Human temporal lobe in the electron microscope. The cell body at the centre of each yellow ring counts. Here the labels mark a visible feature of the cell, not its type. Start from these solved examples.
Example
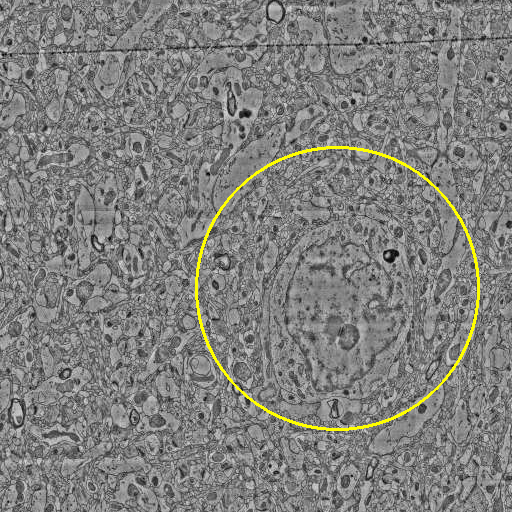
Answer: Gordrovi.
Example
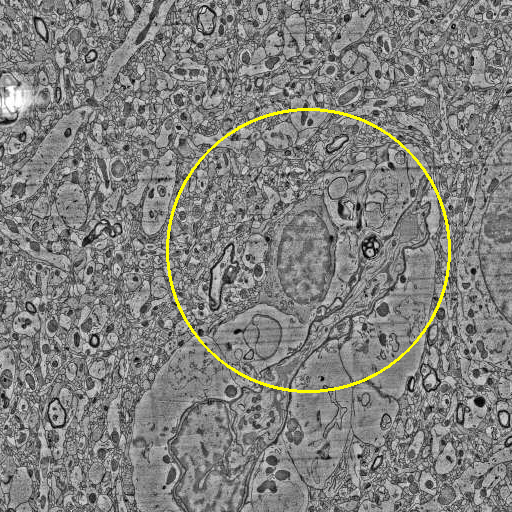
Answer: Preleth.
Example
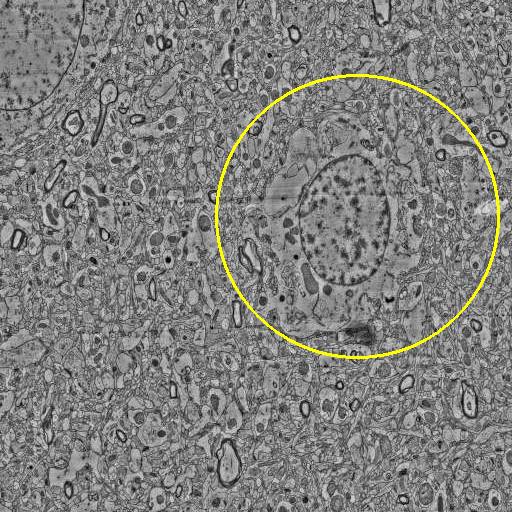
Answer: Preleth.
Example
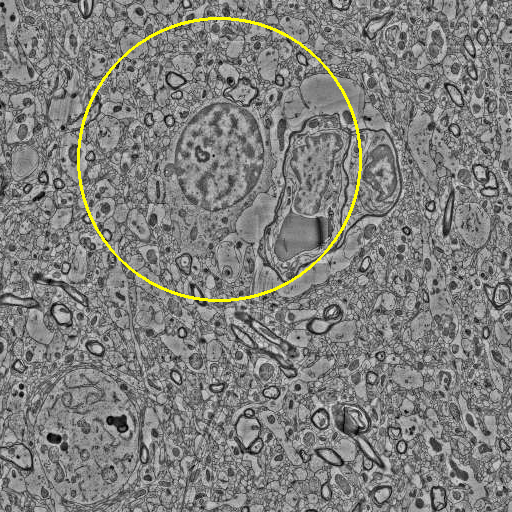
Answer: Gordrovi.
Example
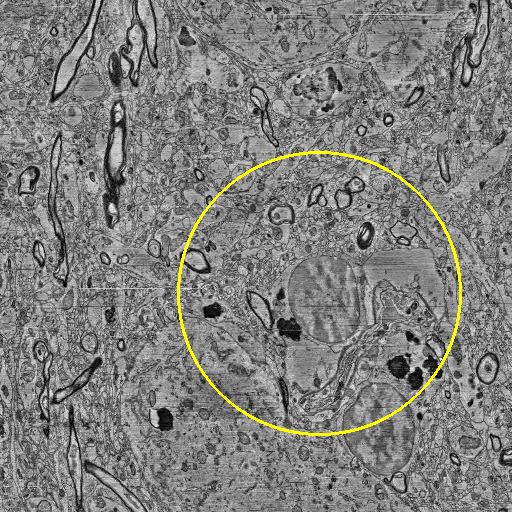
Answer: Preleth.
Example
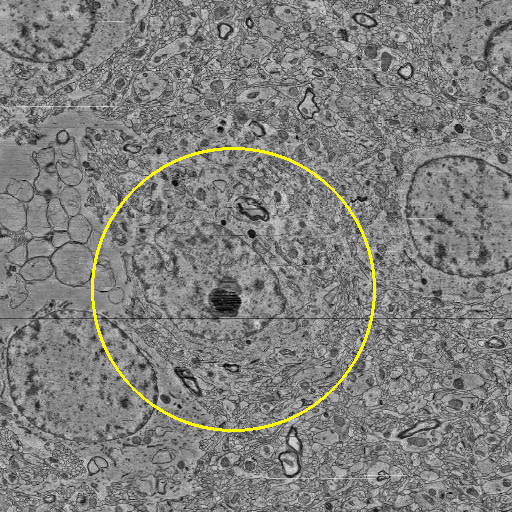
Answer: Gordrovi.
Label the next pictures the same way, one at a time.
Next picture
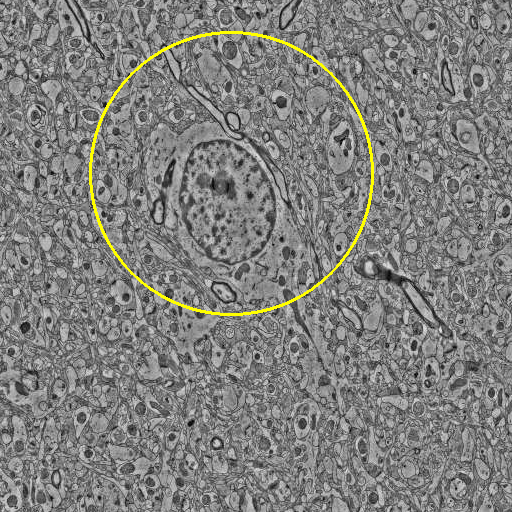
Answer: Gordrovi.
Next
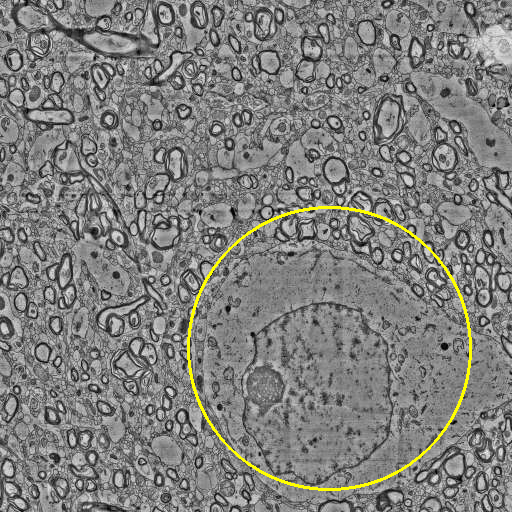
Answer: Gordrovi.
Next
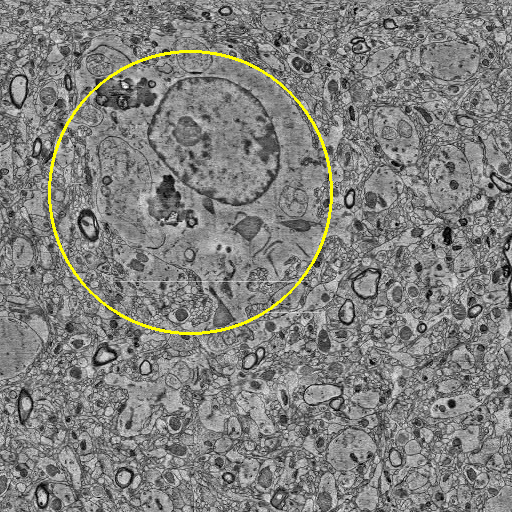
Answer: Gordrovi.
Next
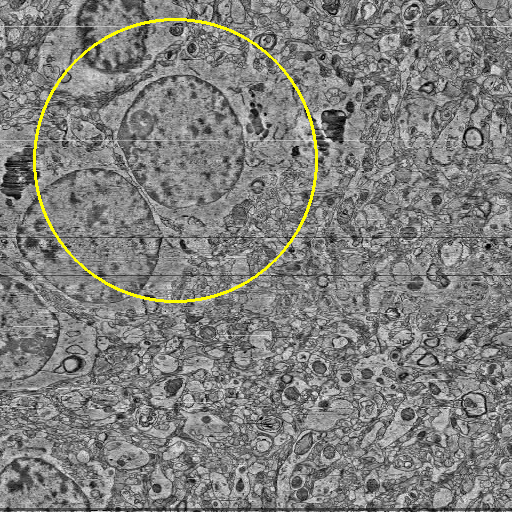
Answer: Gordrovi.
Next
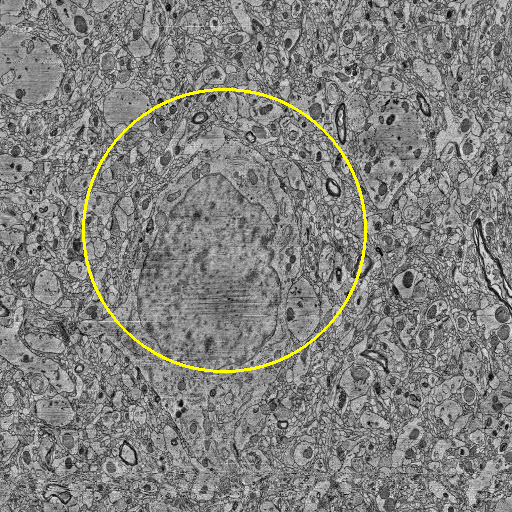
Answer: Preleth.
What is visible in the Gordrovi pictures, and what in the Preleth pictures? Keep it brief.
Gordrovi: nucleolus seen; Preleth: no nucleolus seen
